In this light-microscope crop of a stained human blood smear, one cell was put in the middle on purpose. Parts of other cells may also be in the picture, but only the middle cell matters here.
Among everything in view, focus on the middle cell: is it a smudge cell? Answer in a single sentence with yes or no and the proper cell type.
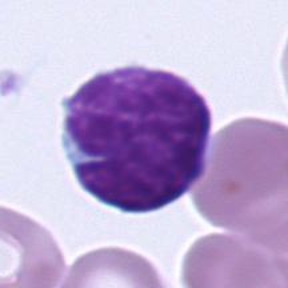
No, rather than being a smudge cell, the central cell is a typical lymphocyte.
